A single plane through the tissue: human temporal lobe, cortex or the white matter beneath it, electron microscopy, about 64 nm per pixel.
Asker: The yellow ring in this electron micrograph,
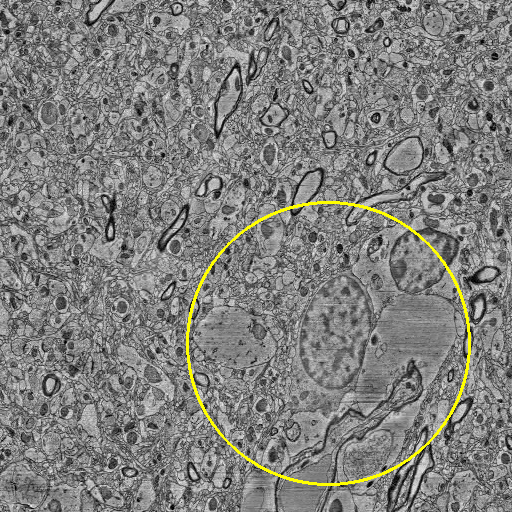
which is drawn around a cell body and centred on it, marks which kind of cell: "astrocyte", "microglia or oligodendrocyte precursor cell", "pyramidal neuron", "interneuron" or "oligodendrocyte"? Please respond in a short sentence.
The marked cell is an oligodendrocyte.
